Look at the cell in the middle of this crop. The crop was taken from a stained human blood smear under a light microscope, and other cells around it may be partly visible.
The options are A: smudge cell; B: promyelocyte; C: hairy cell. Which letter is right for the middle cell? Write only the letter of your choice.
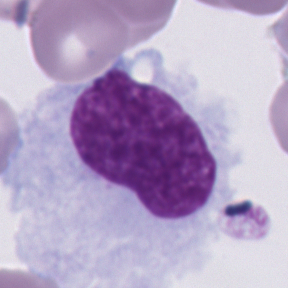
C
